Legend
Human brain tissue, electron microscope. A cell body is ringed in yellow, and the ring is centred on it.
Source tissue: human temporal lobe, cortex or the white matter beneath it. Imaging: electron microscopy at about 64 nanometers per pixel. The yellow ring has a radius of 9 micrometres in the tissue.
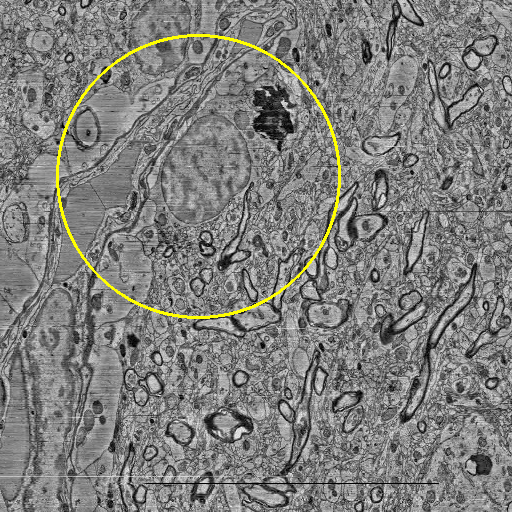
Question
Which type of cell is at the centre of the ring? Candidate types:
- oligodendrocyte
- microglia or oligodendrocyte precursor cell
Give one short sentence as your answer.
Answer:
The yellow ring is centred here on an oligodendrocyte.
